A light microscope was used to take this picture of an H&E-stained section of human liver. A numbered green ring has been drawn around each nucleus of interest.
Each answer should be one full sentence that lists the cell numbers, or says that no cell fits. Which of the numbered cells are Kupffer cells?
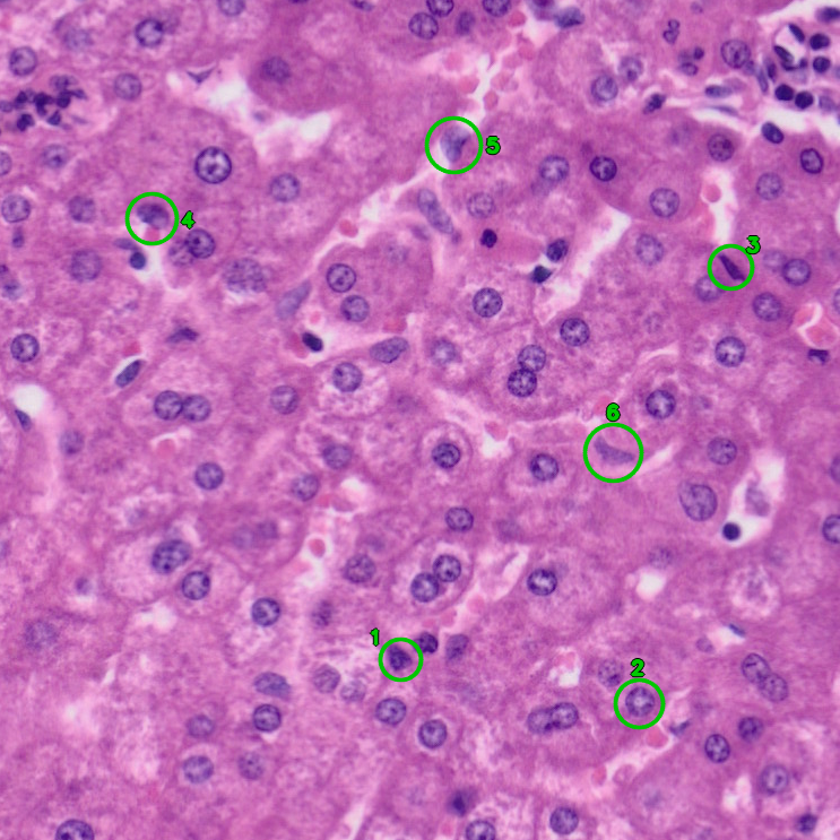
Cell 6 is the only one of the numbered cells that is a Kupffer cell.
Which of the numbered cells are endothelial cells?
Cells that were given the numbers 4 and 5 are endothelial cells.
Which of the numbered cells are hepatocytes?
Cell 2 is a hepatocyte; no further numbered cell is.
